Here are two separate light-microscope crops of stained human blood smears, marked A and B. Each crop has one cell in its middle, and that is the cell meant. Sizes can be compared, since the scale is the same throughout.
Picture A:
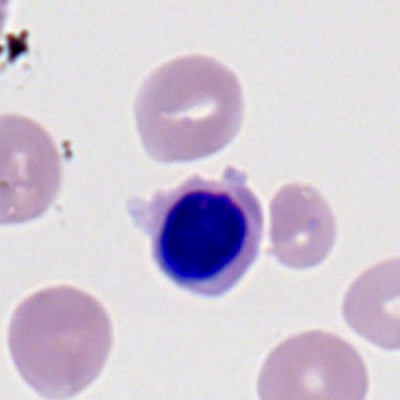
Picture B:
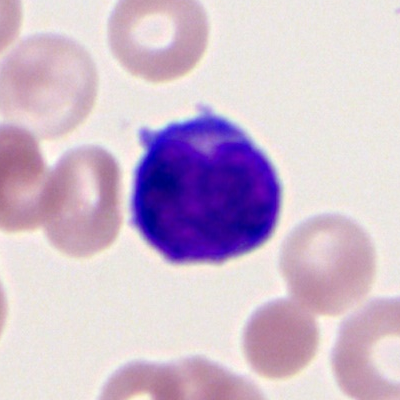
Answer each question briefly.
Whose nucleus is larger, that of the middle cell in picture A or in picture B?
B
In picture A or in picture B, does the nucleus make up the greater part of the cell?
B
